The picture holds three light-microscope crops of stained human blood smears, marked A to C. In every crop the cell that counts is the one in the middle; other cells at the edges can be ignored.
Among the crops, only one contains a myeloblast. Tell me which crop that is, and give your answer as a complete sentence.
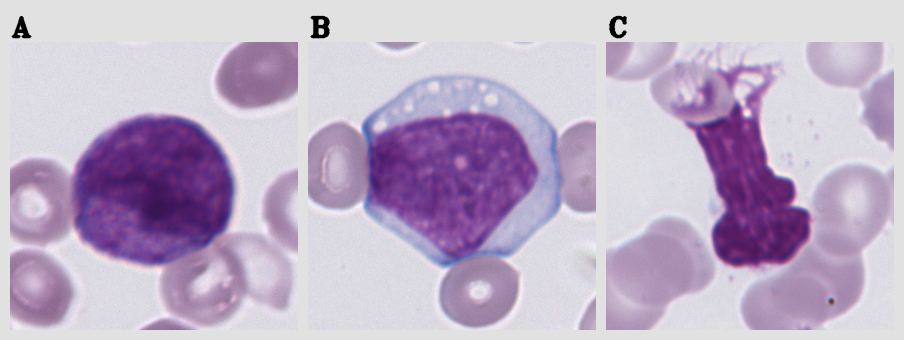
It is in crop B, among all the crops, that a myeloblast is present.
